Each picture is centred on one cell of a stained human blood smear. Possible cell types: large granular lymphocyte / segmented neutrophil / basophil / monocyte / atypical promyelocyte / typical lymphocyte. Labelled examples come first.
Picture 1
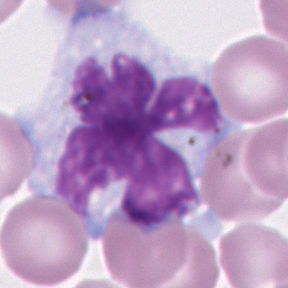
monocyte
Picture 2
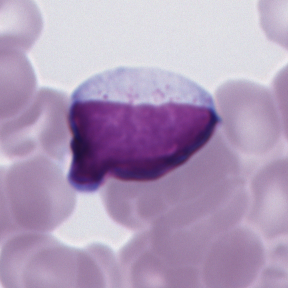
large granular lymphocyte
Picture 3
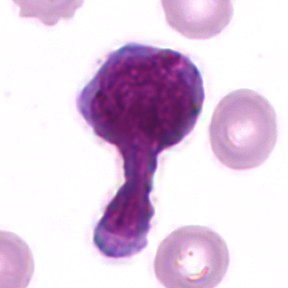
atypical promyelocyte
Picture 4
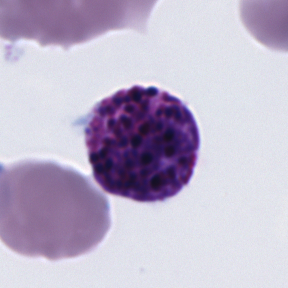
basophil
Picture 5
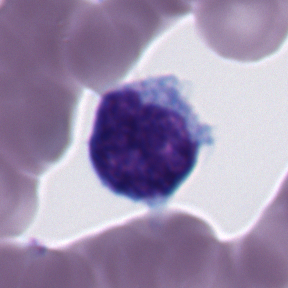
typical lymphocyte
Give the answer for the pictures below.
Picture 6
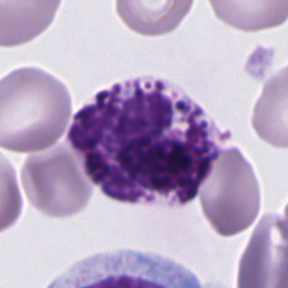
basophil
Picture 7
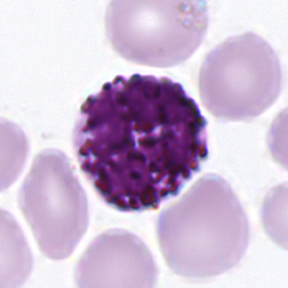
basophil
